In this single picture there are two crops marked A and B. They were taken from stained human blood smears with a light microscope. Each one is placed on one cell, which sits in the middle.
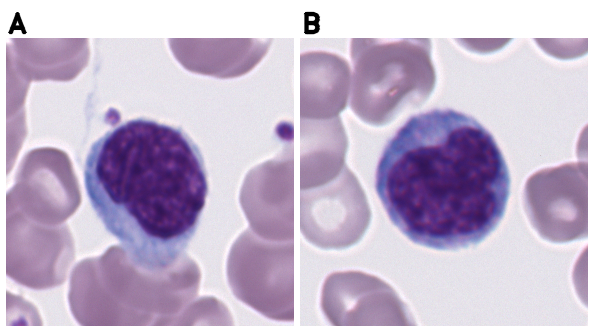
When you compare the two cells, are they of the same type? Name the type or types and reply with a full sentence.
Yes, monocytes occupy the centre of both crops.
